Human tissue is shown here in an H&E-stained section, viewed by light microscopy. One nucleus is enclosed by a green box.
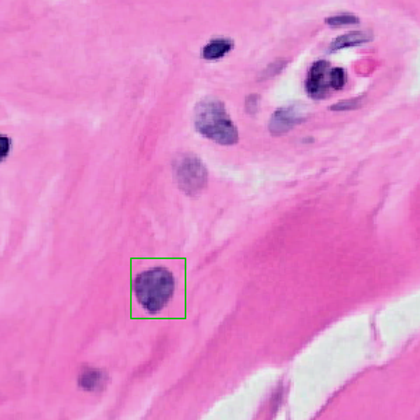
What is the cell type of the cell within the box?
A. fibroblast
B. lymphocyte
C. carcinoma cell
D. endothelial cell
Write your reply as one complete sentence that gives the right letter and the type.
Here the correct option is B, since the cell within the box is a lymphocyte.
